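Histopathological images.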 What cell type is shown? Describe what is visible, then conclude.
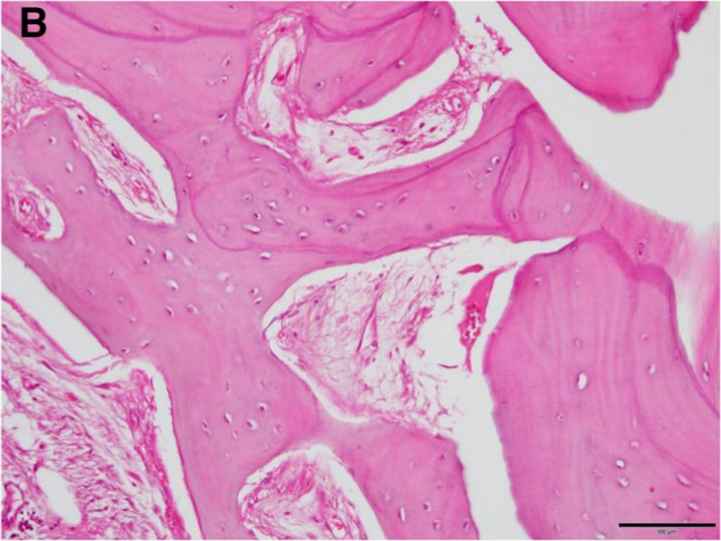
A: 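Small dark nuclei sit inside lacunae scattered through the pink bone matrix.
Conclusion: normal osteocytes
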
